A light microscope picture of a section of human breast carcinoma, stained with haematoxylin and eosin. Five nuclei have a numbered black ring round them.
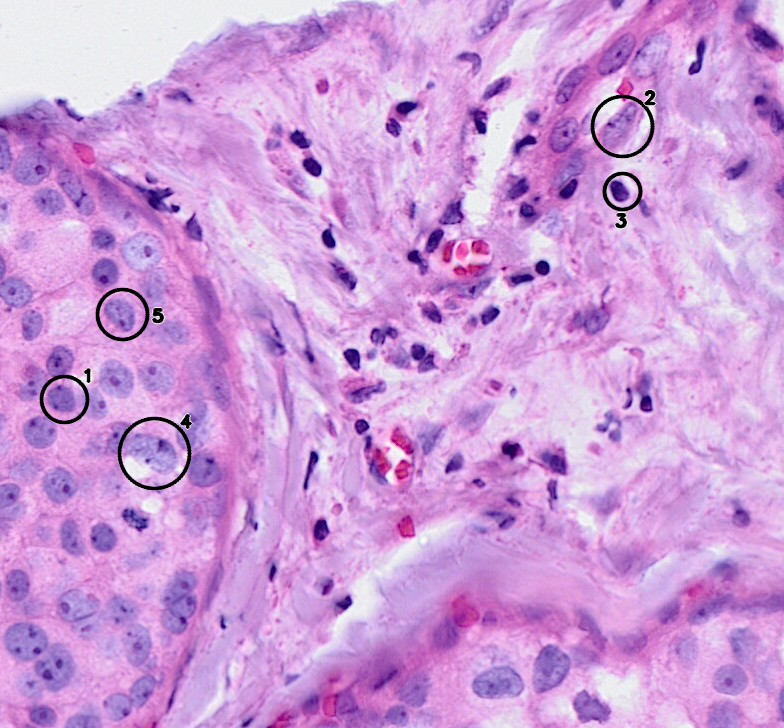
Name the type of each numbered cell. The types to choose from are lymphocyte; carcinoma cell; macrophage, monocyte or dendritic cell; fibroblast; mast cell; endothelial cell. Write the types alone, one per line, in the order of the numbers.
carcinoma cell
endothelial cell
lymphocyte
carcinoma cell
carcinoma cell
